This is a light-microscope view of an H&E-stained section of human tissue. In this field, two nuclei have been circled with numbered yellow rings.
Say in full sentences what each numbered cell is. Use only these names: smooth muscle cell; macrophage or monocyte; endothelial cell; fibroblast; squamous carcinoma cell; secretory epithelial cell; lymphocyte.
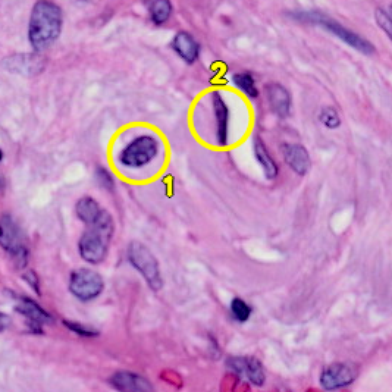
Cell 1 is a lymphocyte and cell 2 is an endothelial cell.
